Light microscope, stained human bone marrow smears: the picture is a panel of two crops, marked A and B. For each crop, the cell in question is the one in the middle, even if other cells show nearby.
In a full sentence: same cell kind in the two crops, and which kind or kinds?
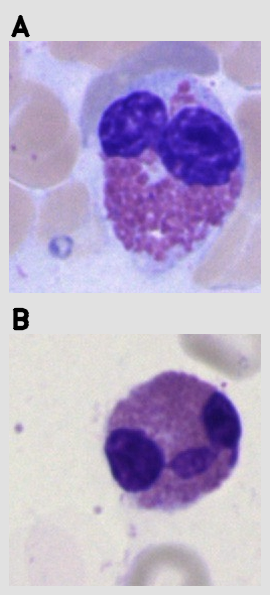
Yes, in both crops, eosinophils are the cells at the middle.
